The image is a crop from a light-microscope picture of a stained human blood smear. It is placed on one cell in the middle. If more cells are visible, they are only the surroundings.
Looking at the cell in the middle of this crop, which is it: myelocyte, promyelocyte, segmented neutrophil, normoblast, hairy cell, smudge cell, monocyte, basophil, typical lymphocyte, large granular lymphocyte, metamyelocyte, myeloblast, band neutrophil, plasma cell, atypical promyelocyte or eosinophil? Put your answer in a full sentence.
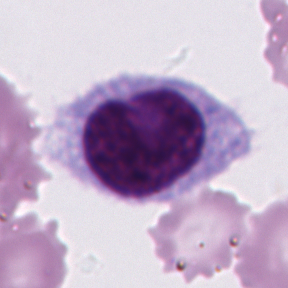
Located at the centre of the crop is a hairy cell.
